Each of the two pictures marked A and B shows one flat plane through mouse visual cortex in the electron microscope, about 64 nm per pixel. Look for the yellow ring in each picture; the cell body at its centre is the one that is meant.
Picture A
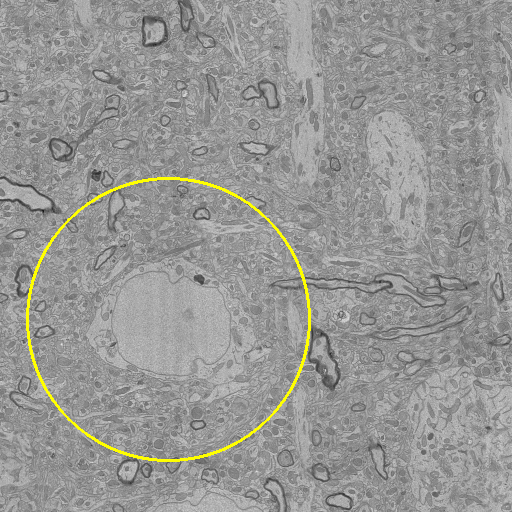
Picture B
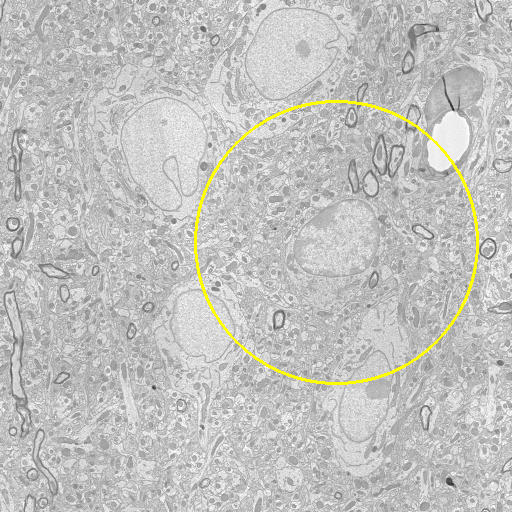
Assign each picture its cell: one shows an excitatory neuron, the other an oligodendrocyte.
Picture A is of an excitatory neuron, and picture B is of an oligodendrocyte.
